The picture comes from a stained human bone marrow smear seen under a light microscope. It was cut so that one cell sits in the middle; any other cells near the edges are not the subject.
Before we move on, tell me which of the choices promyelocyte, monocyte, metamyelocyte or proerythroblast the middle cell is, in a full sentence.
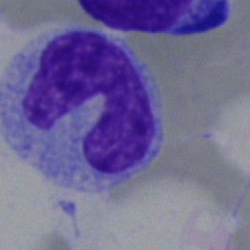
Centrally within this crop lies a monocyte.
